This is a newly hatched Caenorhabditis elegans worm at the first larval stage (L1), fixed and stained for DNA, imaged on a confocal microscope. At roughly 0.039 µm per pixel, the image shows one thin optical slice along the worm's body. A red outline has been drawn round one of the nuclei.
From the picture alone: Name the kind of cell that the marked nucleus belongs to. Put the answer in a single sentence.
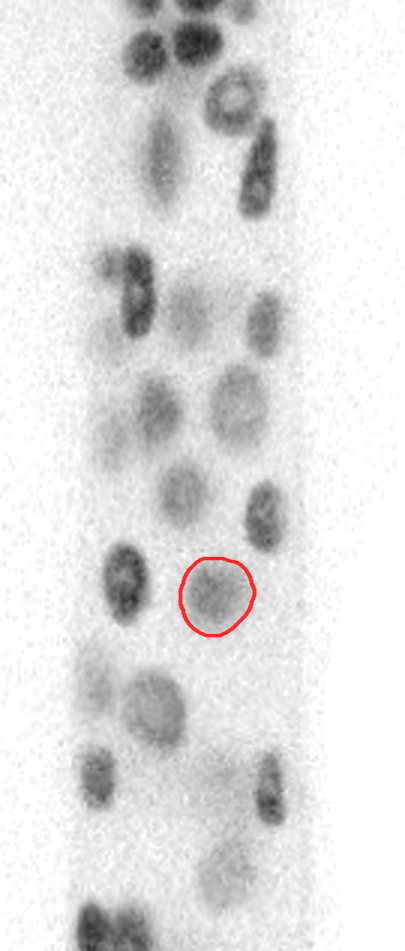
The nucleus comes from a Q neuroblast.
